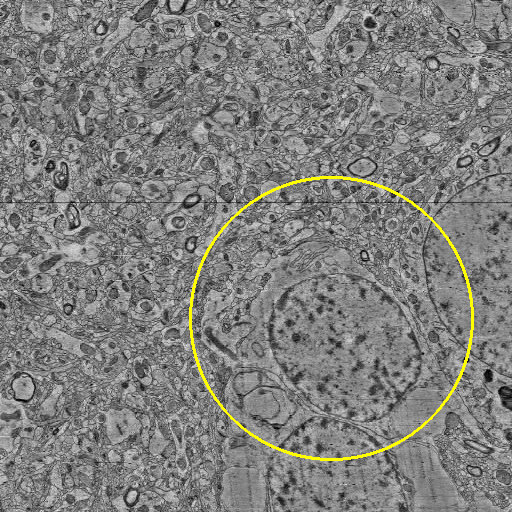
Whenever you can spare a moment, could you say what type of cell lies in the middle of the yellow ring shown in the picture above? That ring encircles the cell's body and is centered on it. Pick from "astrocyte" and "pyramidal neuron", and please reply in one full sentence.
The cell whose body sits at the middle of the yellow ring is an astrocyte.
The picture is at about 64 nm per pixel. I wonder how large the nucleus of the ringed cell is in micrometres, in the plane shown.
Approximately 10 by 8 micrometers in this plane.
